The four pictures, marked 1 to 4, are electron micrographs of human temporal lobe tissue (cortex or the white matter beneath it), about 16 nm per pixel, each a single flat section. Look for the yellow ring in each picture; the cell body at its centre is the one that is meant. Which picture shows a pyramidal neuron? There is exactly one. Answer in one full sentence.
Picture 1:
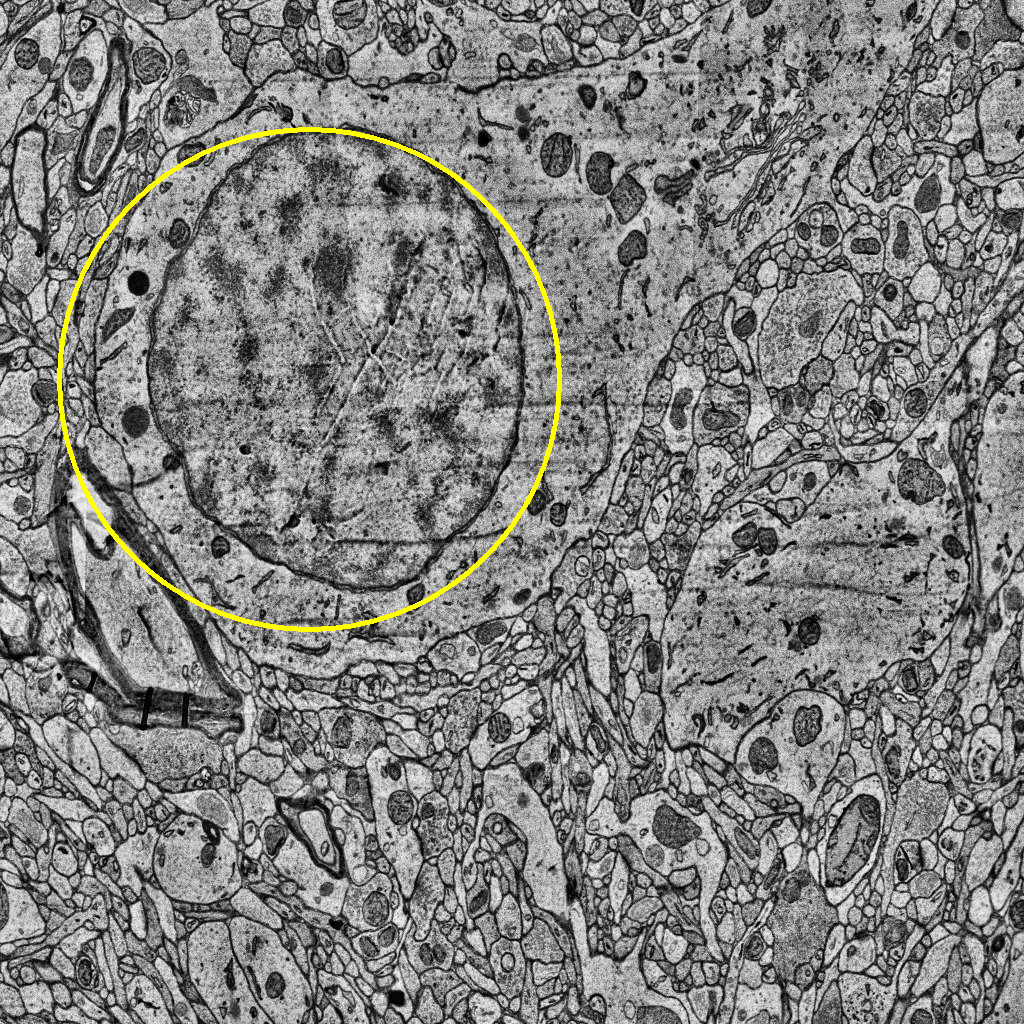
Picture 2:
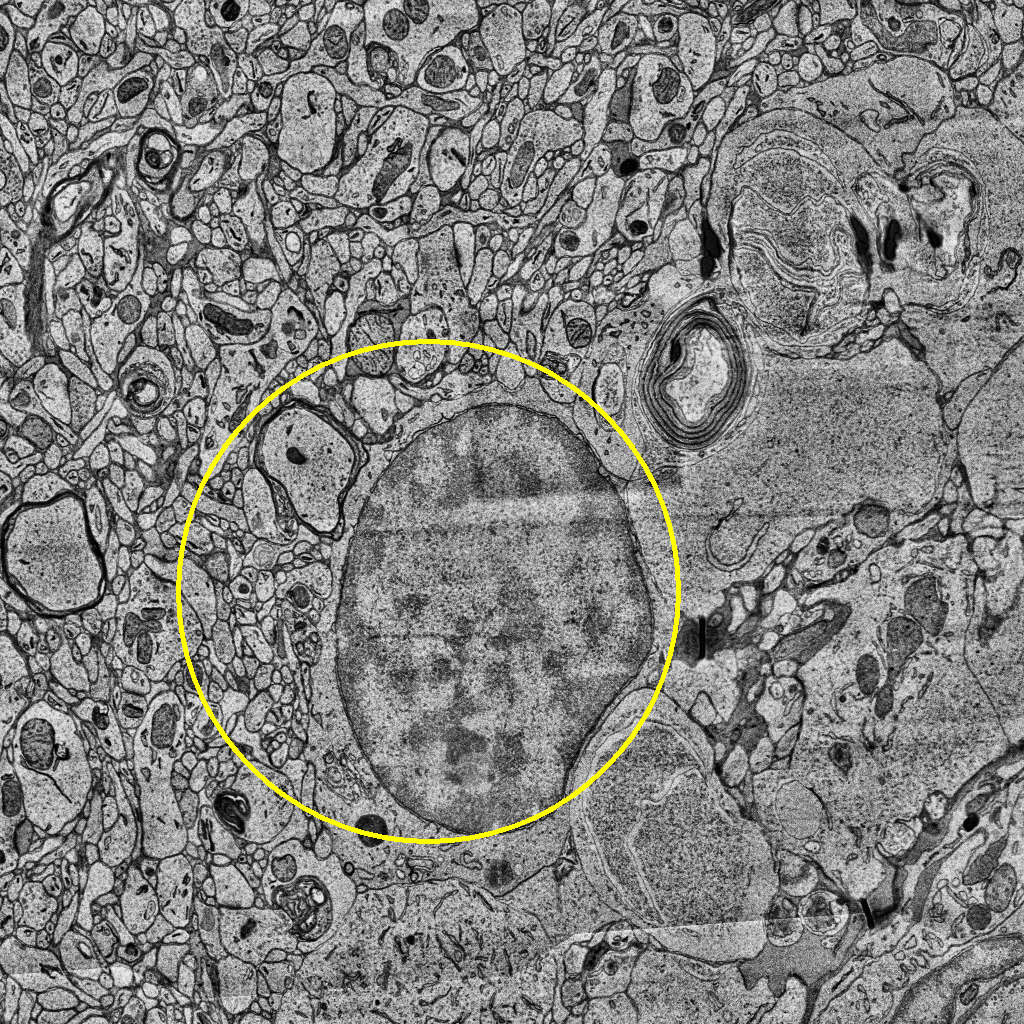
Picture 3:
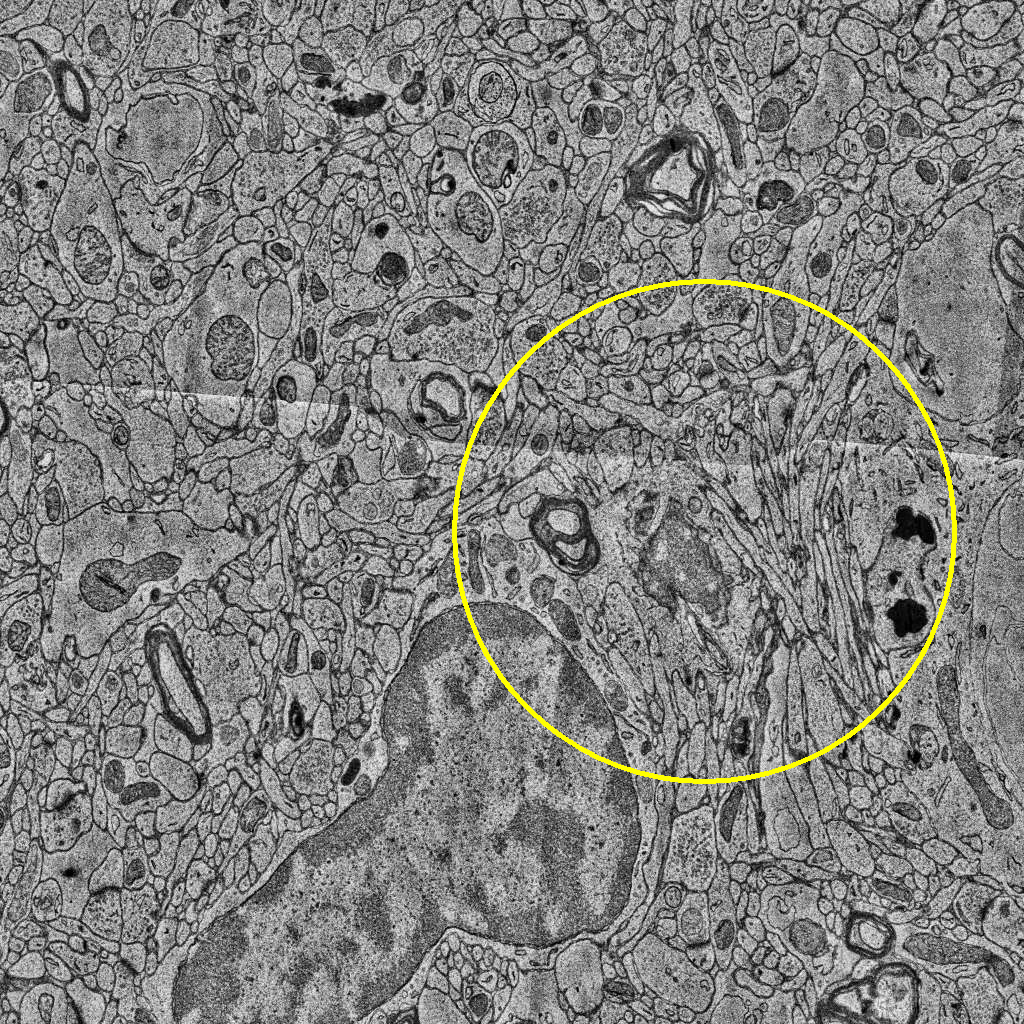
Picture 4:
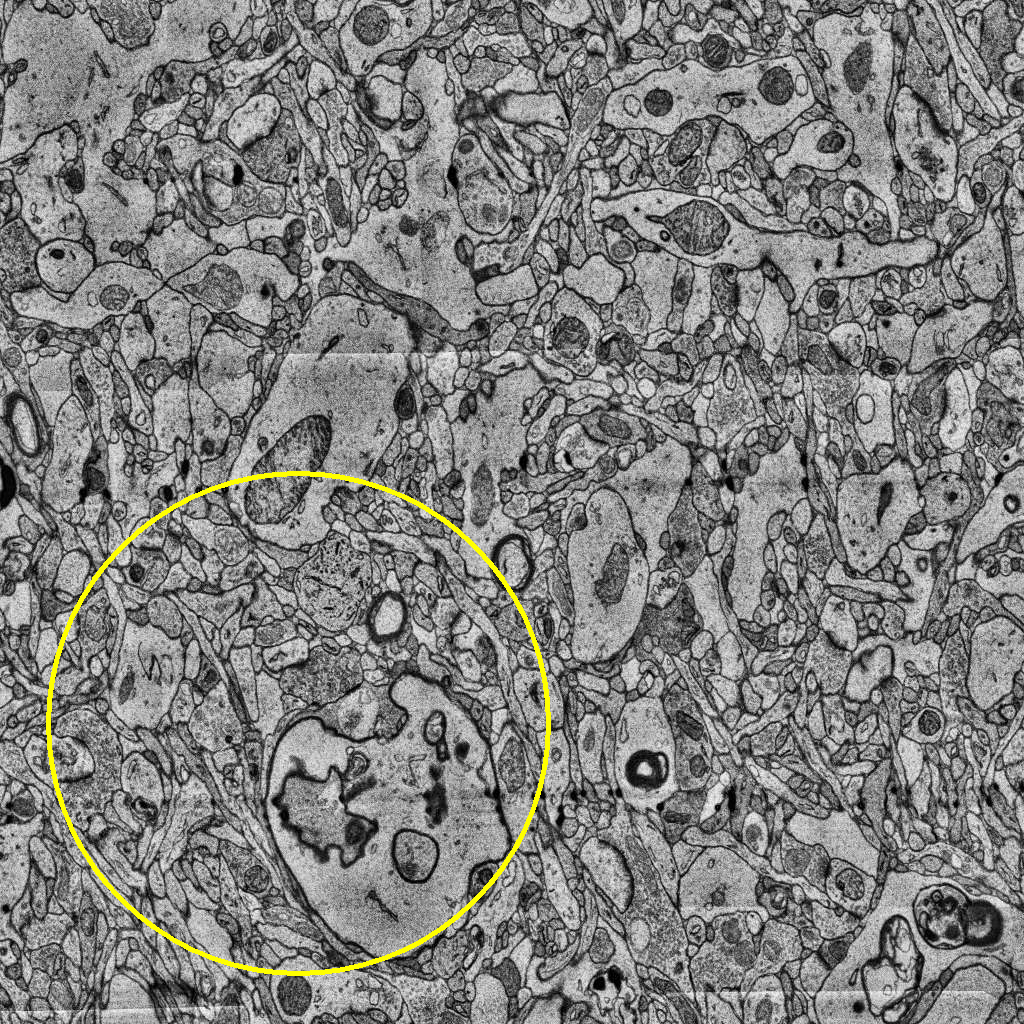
It is picture 1 that shows the pyramidal neuron.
